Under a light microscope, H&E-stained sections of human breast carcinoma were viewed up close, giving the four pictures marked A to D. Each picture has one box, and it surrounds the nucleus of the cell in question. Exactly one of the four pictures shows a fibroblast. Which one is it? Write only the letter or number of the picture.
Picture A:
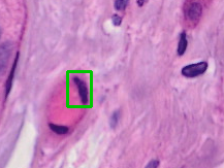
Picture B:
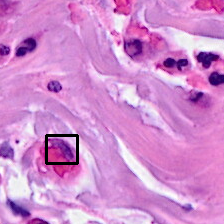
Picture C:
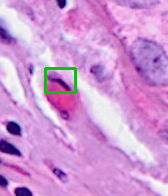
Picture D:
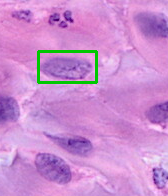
D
